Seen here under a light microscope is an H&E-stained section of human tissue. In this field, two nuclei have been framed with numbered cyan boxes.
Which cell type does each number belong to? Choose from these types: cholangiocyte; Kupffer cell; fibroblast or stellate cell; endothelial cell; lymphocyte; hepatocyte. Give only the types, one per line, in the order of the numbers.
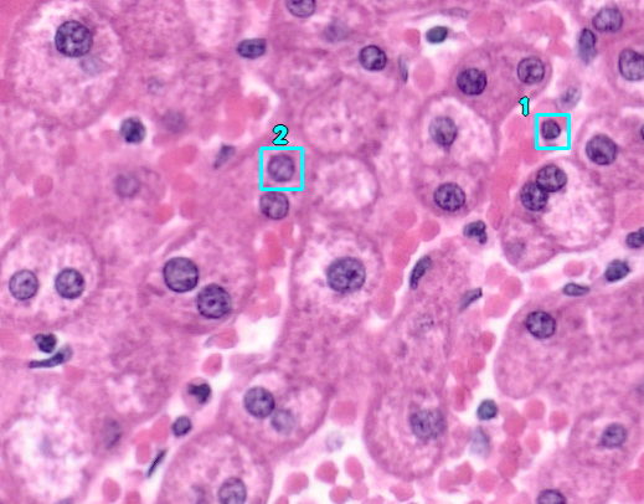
lymphocyte
hepatocyte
